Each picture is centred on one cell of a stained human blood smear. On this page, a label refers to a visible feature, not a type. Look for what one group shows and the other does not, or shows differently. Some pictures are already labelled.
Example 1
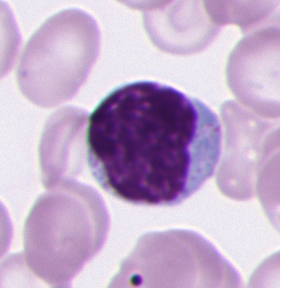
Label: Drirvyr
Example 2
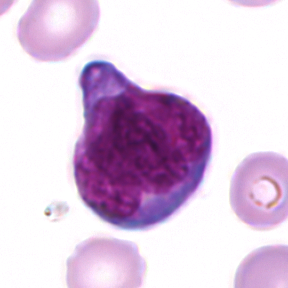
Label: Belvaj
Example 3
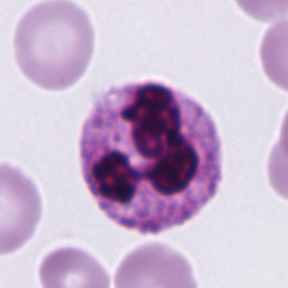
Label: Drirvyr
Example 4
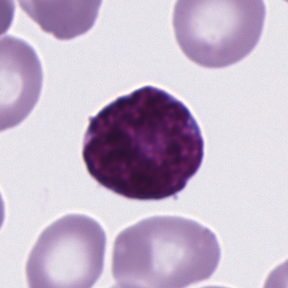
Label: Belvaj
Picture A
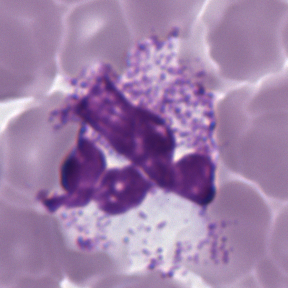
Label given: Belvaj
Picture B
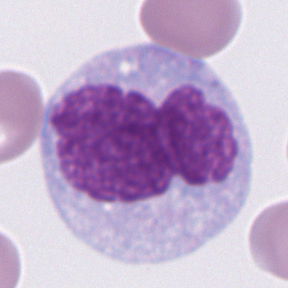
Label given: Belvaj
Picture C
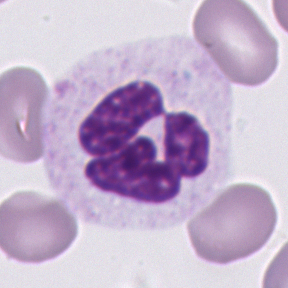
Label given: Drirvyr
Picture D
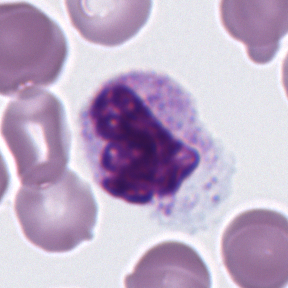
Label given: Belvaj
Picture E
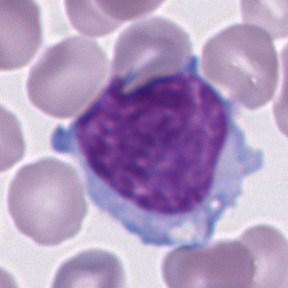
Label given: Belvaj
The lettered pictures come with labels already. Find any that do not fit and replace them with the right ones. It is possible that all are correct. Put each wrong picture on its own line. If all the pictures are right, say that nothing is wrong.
B: not Belvaj but Drirvyr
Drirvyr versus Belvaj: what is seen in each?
Seen in Drirvyr: smooth outline; seen in Belvaj: ragged outline or projections.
